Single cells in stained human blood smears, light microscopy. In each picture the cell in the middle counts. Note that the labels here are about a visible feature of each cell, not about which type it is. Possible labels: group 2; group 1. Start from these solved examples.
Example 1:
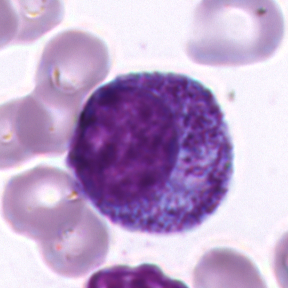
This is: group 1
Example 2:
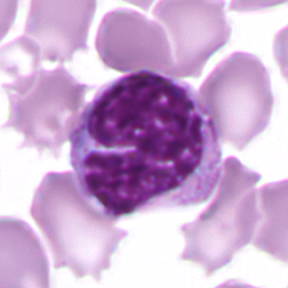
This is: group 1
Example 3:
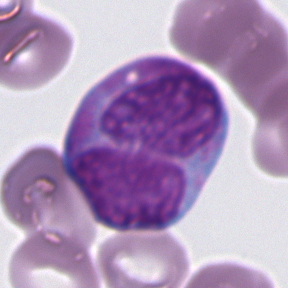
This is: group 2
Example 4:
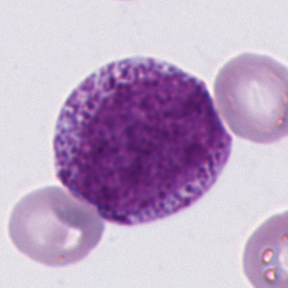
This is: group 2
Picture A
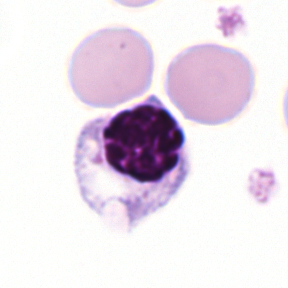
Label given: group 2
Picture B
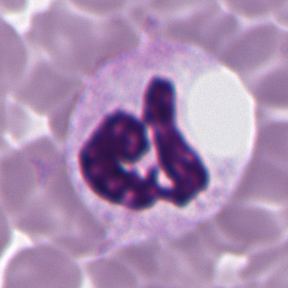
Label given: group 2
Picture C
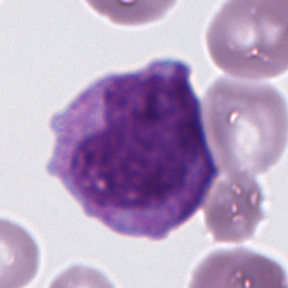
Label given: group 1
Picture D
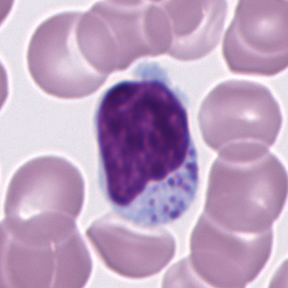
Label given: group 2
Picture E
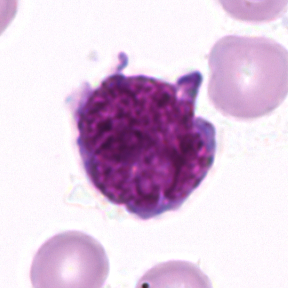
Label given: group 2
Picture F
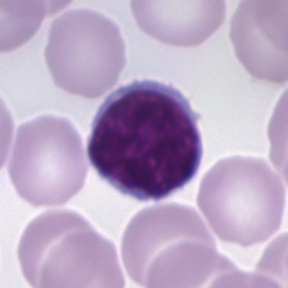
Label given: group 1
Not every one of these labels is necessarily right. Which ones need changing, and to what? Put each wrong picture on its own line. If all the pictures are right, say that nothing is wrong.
D: group 1, not group 2
E: group 1, not group 2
